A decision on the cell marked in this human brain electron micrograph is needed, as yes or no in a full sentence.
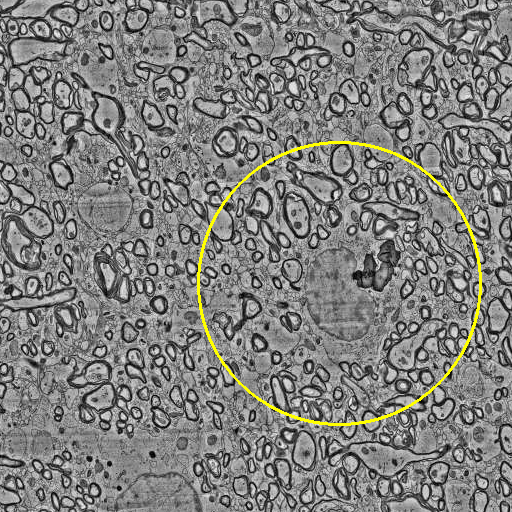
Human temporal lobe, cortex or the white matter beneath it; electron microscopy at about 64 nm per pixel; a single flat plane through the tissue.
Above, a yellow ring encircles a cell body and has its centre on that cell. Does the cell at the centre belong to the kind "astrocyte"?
No, a different kind fits the cell at the centre of the ring in the picture.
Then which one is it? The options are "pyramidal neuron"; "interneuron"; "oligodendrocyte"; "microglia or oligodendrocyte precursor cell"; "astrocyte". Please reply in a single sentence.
What the ring encloses here is an oligodendrocyte.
